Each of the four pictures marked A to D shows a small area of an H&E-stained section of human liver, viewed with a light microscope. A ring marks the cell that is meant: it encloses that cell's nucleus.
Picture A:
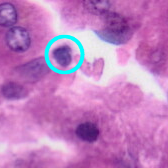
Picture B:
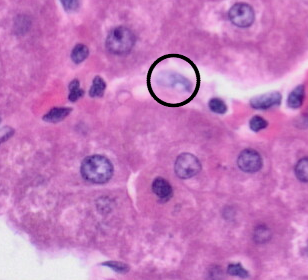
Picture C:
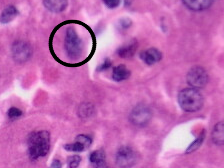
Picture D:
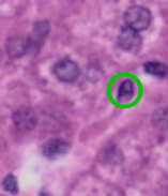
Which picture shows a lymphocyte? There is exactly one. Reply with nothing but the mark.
A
